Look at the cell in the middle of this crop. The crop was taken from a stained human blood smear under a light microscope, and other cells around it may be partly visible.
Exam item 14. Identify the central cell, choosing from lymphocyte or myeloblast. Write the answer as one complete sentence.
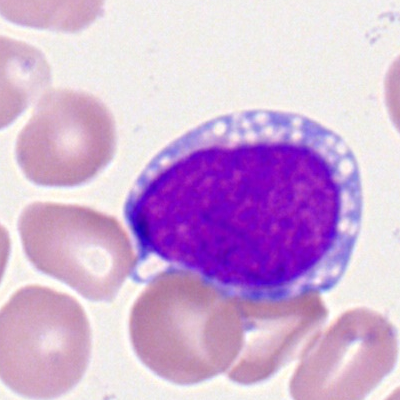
Regarding the central cell, it is a myeloblast.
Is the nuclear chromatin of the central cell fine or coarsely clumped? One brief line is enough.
The chromatin is delicate and fine, lacking coarse clumping entirely.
